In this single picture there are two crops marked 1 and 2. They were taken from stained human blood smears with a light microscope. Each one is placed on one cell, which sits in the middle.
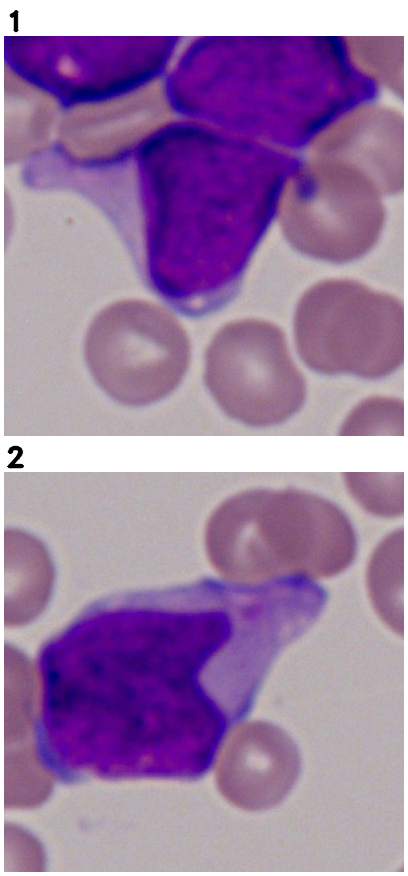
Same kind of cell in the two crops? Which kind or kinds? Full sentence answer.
Yes, both crops contain myeloblasts at their centres.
